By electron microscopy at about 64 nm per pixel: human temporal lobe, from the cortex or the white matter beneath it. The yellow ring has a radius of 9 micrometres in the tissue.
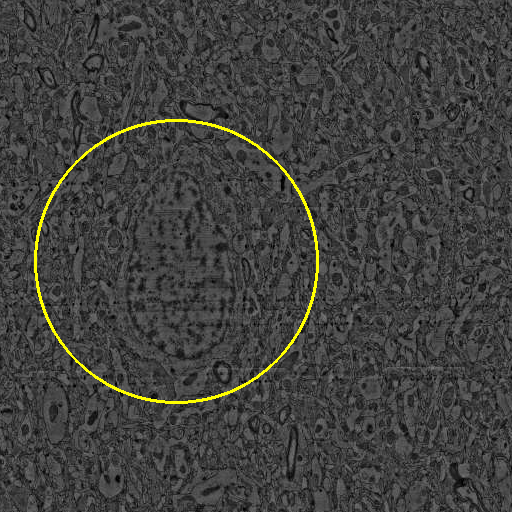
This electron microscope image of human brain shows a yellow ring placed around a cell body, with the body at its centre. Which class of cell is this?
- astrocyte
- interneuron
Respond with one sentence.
The cell body at the ring's centre is an interneuron.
